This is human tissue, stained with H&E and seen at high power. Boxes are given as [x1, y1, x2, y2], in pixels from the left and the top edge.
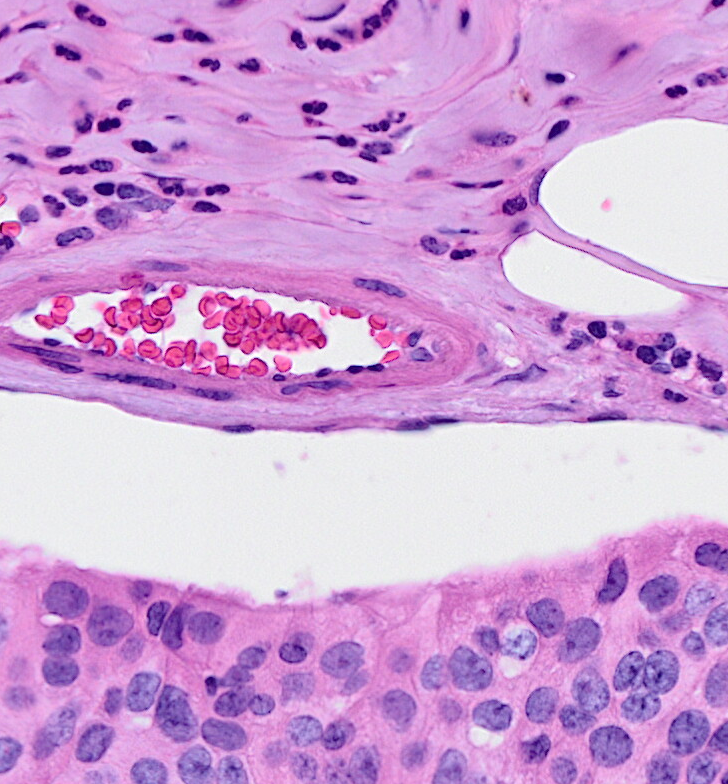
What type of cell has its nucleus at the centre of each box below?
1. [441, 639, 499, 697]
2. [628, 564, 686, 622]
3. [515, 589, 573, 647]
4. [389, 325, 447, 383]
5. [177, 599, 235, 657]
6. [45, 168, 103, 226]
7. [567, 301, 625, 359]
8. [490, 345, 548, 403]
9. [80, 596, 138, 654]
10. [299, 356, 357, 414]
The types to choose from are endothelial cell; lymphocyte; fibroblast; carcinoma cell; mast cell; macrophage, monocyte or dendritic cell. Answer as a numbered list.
1. carcinoma cell
2. carcinoma cell
3. carcinoma cell
4. endothelial cell
5. carcinoma cell
6. lymphocyte
7. lymphocyte
8. fibroblast
9. carcinoma cell
10. endothelial cell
